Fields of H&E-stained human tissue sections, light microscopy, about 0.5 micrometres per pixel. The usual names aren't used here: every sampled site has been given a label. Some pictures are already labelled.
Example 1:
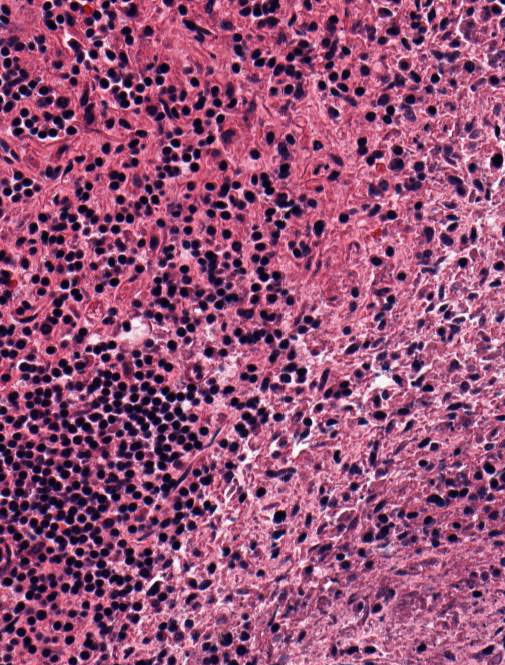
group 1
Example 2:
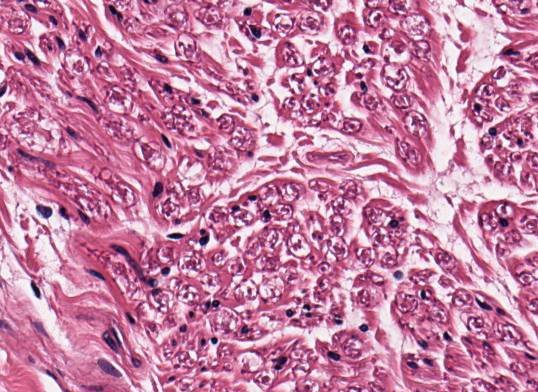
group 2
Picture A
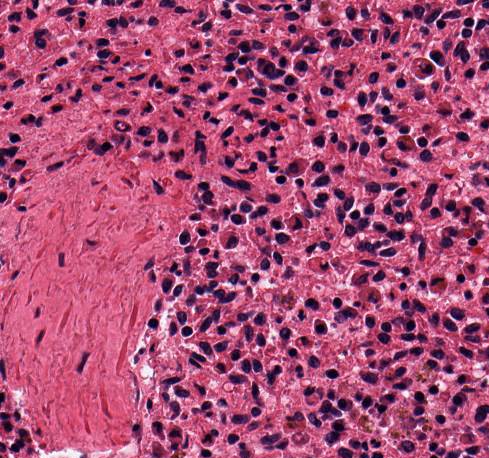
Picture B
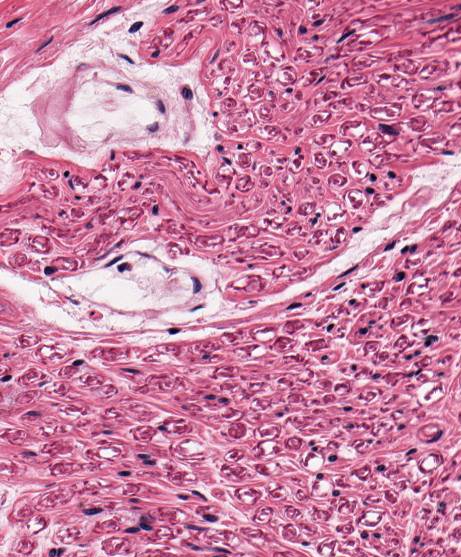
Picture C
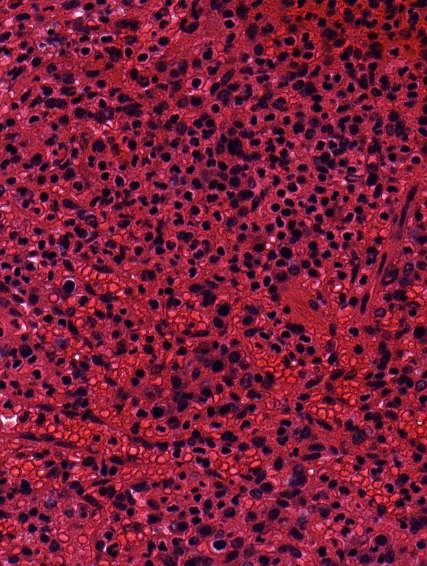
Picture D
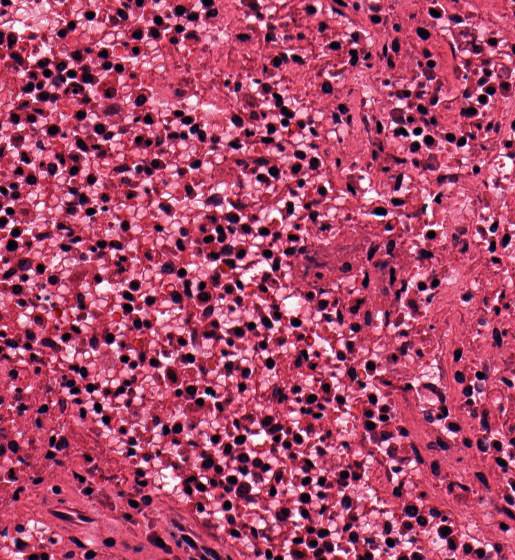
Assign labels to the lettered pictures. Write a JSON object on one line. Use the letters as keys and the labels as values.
{"A": "group 1", "B": "group 2", "C": "group 1", "D": "group 1"}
